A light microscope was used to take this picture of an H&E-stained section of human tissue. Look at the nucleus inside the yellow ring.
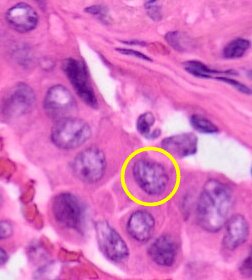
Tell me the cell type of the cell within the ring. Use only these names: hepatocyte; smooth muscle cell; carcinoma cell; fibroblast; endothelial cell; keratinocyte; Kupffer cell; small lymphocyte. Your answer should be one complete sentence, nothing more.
As for its identity, the cell within the ring is a carcinoma cell.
